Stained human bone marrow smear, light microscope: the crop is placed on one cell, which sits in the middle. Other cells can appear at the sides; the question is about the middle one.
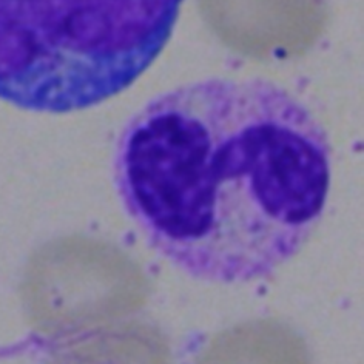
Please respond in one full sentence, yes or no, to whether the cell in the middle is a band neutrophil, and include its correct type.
No, the cell at the centre of the crop corresponds to a segmented neutrophil, not a band neutrophil.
